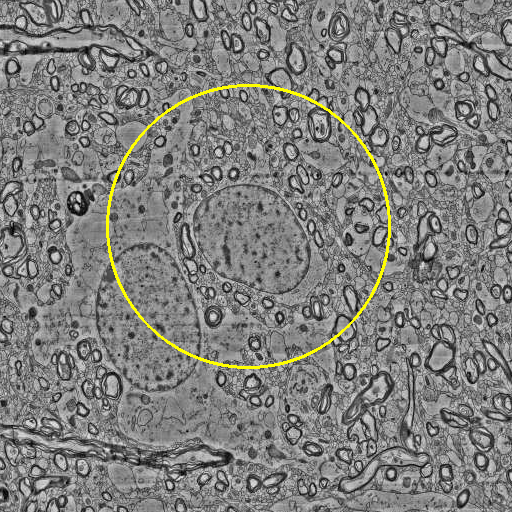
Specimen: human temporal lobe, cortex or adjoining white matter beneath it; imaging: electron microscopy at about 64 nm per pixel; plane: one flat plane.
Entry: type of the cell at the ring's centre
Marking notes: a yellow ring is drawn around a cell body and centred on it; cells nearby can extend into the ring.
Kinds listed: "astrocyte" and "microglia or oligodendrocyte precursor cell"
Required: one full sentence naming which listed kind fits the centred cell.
My entry names a microglial cell or oligodendrocyte precursor cell as the cell whose body the yellow ring centres on.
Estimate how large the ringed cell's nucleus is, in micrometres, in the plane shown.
In this plane the nucleus measures roughly 8 by 6 micrometres.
